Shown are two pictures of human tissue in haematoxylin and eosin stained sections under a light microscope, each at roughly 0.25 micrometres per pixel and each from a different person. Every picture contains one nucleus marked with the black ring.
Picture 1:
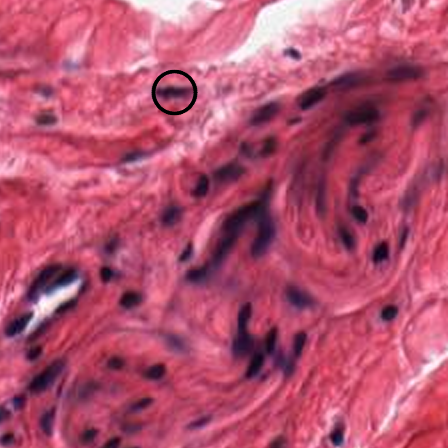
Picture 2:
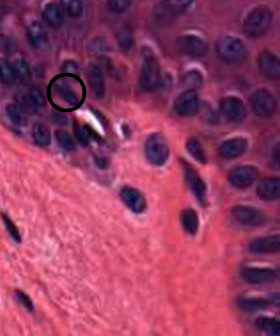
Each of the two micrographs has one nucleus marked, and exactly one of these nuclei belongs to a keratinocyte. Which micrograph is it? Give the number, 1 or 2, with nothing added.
2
